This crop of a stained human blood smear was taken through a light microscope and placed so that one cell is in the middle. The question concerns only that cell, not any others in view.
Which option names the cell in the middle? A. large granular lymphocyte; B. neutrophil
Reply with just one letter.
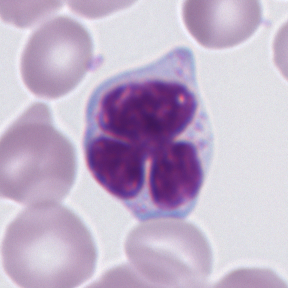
A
